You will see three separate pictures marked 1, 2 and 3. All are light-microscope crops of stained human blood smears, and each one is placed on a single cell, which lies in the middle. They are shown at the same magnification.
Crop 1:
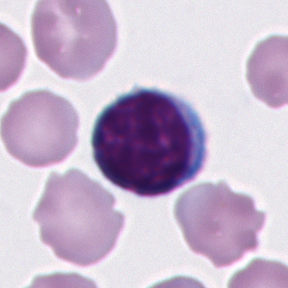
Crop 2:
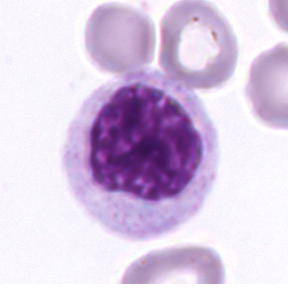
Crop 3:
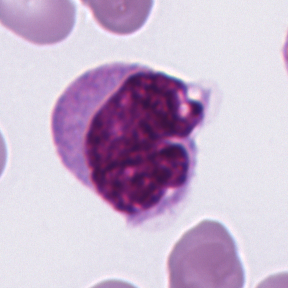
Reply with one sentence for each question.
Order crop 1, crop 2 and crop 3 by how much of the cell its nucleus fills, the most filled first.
From the most filled to the least, the order is 1, 3, 2.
